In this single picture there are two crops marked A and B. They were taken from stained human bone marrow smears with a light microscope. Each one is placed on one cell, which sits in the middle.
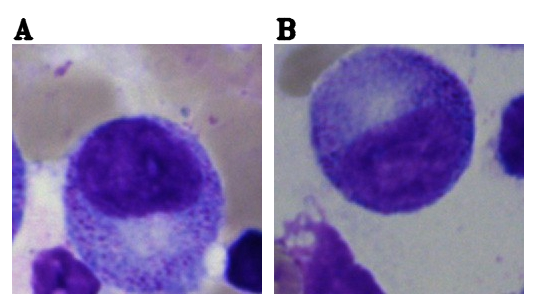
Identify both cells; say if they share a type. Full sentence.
Yes, both crops show myelocytes, each crop centred on one of them.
